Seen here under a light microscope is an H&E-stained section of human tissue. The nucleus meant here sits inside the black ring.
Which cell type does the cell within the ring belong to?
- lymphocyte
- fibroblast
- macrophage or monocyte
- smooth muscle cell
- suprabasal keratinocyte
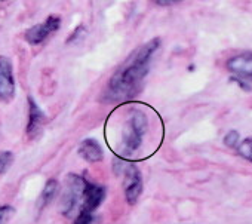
fibroblast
